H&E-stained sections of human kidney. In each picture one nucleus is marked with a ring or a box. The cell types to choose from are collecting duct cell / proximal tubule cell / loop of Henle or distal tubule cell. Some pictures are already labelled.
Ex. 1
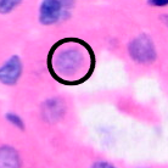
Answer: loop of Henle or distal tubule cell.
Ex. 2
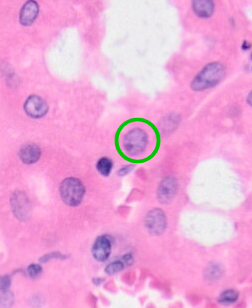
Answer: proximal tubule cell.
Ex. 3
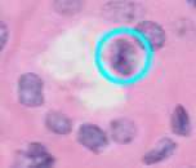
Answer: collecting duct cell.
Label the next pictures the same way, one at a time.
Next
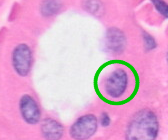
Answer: loop of Henle or distal tubule cell.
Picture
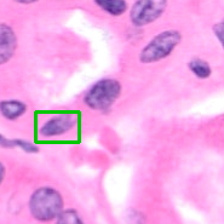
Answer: collecting duct cell.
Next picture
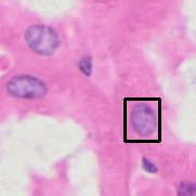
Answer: proximal tubule cell.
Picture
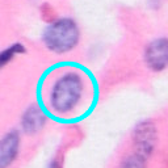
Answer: collecting duct cell.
